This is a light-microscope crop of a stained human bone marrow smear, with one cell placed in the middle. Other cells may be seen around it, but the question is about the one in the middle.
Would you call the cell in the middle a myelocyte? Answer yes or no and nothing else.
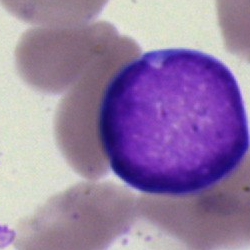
no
